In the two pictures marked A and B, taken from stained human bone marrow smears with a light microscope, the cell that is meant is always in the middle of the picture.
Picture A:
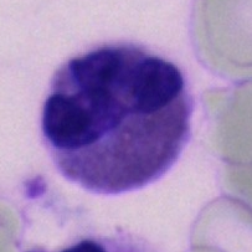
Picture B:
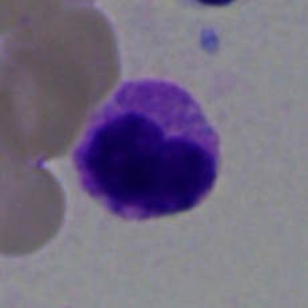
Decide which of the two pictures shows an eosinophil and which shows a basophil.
A: eosinophil
B: basophil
